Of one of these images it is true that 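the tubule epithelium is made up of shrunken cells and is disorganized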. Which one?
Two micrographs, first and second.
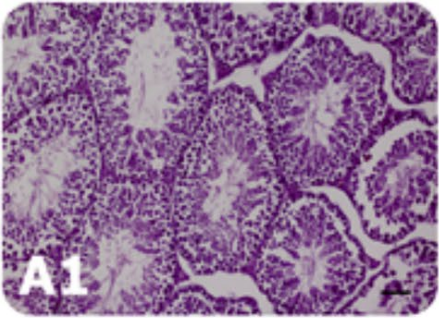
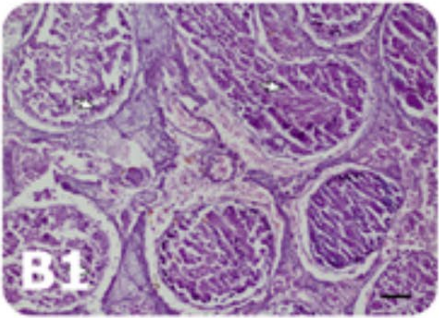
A: the second image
